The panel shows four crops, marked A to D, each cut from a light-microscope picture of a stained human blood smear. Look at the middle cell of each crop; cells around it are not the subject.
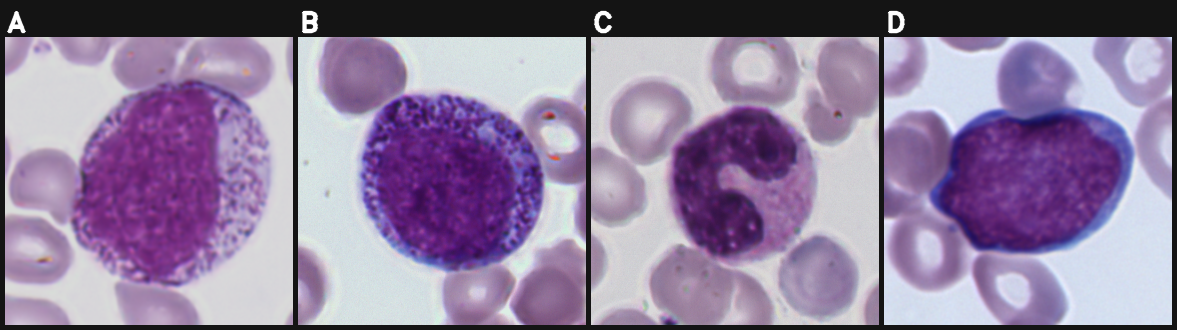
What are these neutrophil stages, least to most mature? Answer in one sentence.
Least mature first and most mature last, the order is crop D (a myeloblast), crop B (a promyelocyte), crop A (a myelocyte) and crop C (a band neutrophil).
